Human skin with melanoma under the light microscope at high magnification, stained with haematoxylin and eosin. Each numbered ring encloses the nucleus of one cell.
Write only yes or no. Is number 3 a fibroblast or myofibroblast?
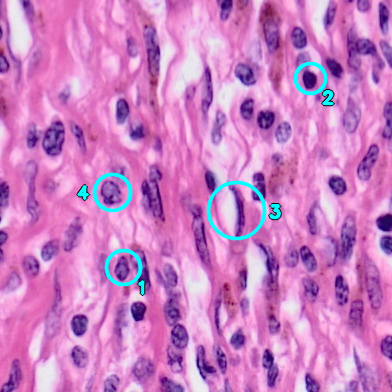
yes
